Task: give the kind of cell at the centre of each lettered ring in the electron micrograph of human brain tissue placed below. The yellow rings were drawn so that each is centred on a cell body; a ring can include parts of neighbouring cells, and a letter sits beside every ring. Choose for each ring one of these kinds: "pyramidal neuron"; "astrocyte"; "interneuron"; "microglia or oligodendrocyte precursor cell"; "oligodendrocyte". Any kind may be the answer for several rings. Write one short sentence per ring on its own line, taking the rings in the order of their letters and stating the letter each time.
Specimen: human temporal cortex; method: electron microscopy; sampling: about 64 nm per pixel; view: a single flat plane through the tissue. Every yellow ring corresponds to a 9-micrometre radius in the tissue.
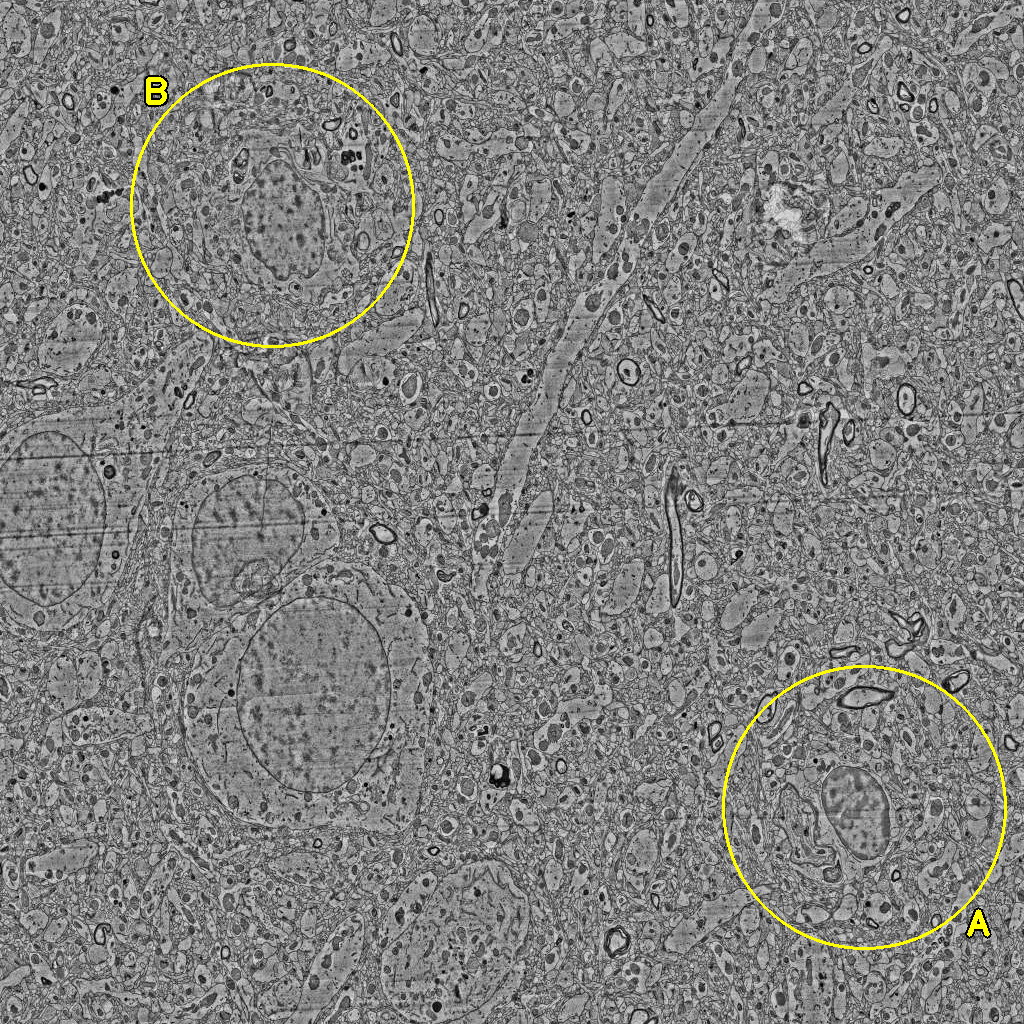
The yellow ring marked A surrounds a microglial cell or oligodendrocyte precursor cell.
The yellow ring marked B surrounds an astrocyte.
